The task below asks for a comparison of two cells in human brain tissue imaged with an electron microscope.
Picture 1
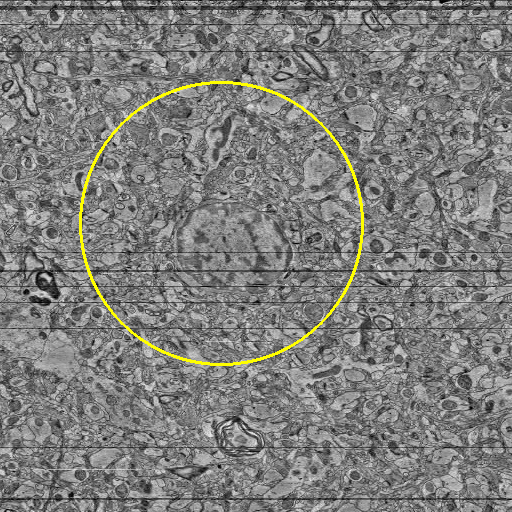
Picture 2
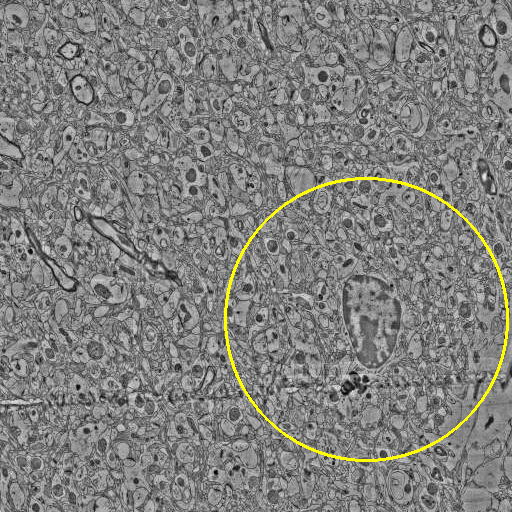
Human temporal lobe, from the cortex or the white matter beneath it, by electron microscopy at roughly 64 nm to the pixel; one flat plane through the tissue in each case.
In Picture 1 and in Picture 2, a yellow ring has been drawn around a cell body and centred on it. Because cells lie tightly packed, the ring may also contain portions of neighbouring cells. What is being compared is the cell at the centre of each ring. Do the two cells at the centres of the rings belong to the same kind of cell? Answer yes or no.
no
